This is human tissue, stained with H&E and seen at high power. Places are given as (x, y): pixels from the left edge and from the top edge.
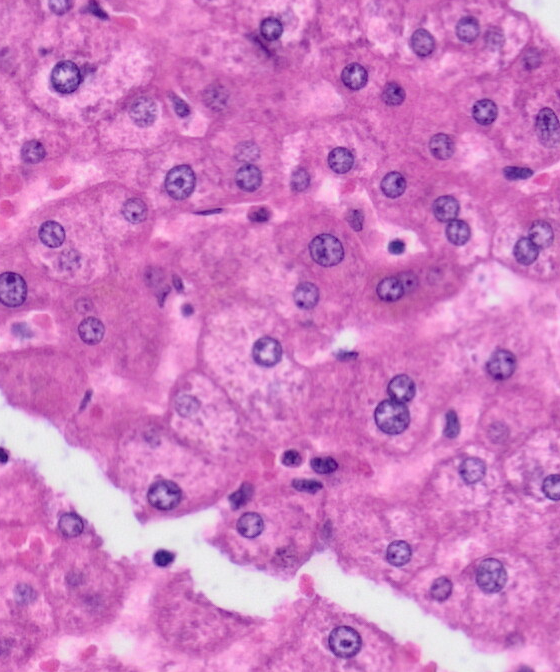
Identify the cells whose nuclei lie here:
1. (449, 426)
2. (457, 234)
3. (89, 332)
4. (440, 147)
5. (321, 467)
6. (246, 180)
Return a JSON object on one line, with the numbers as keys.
{"1": "Kupffer cell", "2": "hepatocyte", "3": "hepatocyte", "4": "hepatocyte", "5": "Kupffer cell", "6": "hepatocyte"}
